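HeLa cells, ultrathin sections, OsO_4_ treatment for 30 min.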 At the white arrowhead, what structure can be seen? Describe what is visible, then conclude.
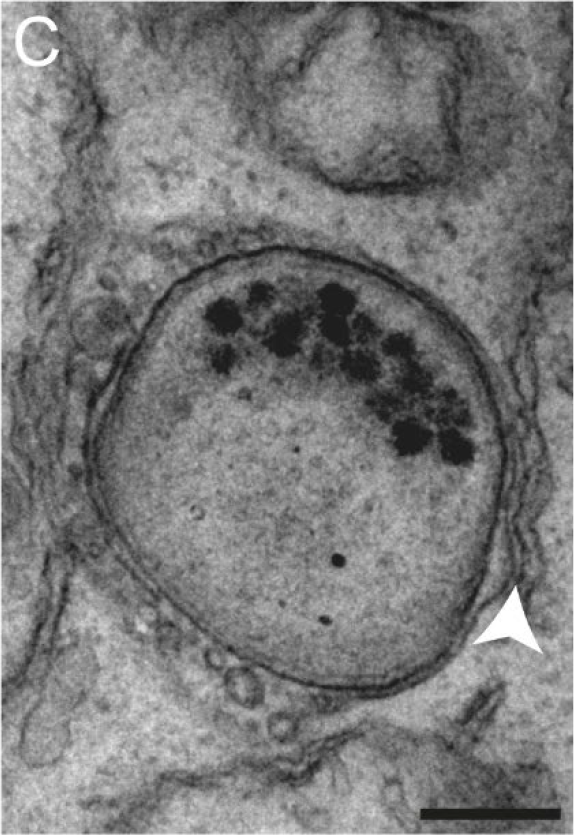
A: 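The arrowhead points where a thin membrane cisterna runs closely alongside the round organelle's membrane. That points to this answer: membrane contact sites.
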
